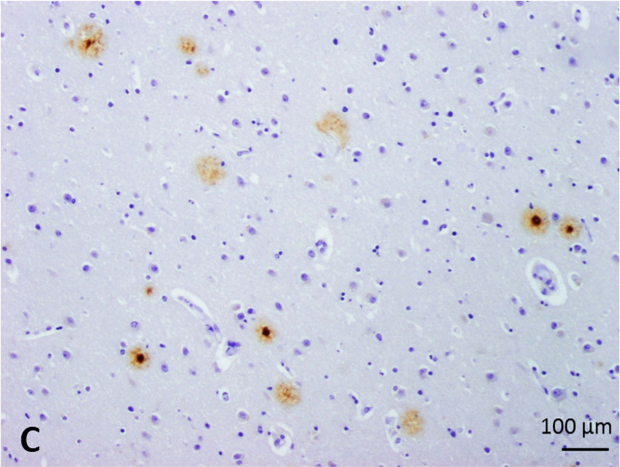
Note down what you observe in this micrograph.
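This is a section of neural tissue with round brown deposits scattered in the parenchyma, the tissue between the vessels. Some deposits are small and compact with a dark brown core surrounded by a paler brown halo, while others are larger, fluffy and more evenly pale. The blue nuclei of the tissue cells lie scattered around them in a pale background. The small vessels in the field, seen as empty outlined spaces, have walls free of brown stain. The deposits are therefore placed in the tissue itself and not along the vessels.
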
